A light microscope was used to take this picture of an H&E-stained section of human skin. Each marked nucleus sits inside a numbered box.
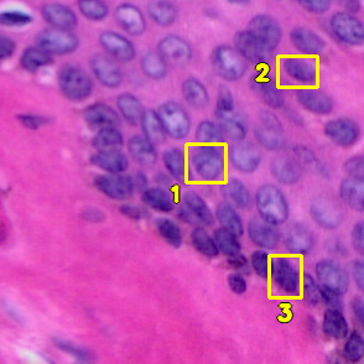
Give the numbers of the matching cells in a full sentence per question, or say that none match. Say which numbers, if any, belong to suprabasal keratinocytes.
Of all the cells bearing numbers, cell 1 is the only one that is a suprabasal keratinocyte.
